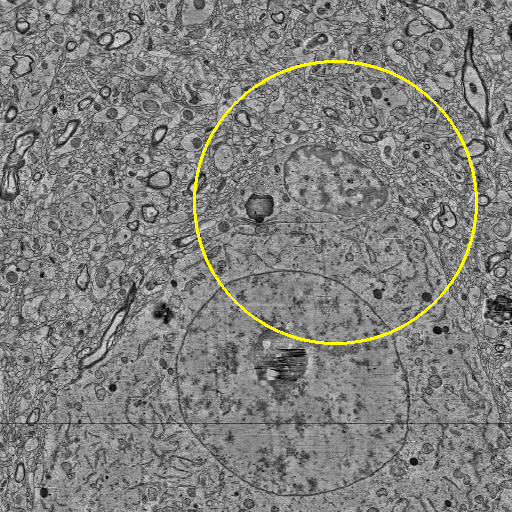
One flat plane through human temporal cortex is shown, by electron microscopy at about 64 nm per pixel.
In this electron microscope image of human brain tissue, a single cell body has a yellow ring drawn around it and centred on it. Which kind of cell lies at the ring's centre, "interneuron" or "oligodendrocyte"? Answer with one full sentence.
It is an oligodendrocyte whose cell body lies at the centre of the yellow ring here.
